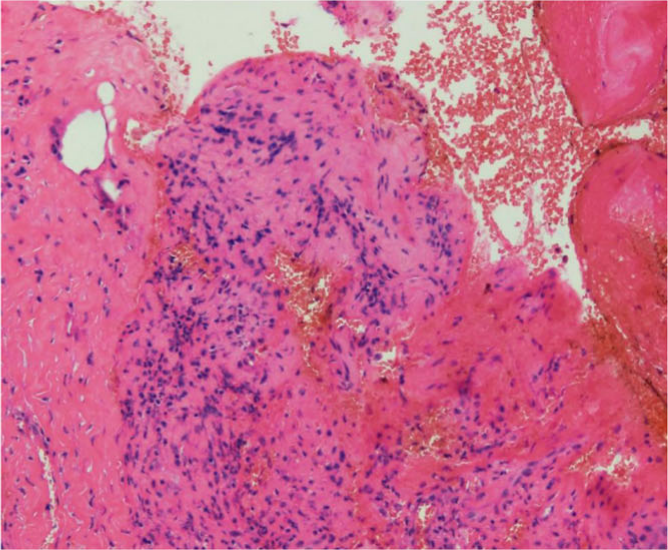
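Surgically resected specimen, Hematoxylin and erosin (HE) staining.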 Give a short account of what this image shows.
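Fibrous tissue with angiogenesis and chronic inflammatory cell infiltration, in which many small dark purple nuclei are scattered through pink collagenous stroma. Extravasated red blood cells lie in the tissue and in a cluster at the top right, beside dense pink fibrous material.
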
